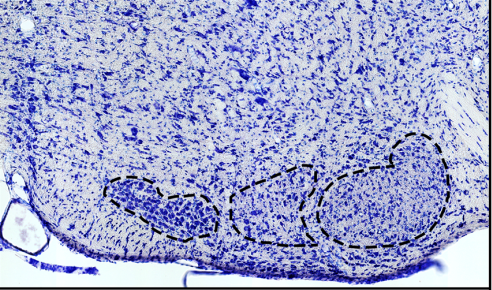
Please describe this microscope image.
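This is a Nissl-stained section through the ventral brainstem showing three neighbouring cell groups of the superior olivary complex, each outlined by a black dashed line. The most medial group, the medial nucleus of the trapezoid body, is compact and packed with darkly blue-violet stained cell bodies. Beside it lies a paler, more loosely populated region, the superior paraolivary nucleus. Most laterally sits the larger, rounded lateral superior olive, filled with moderately stained cell bodies. Around the nuclei the tissue is paler and fibre-rich, with scattered small dark nuclei, and the ventral surface of the brainstem runs along the bottom.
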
